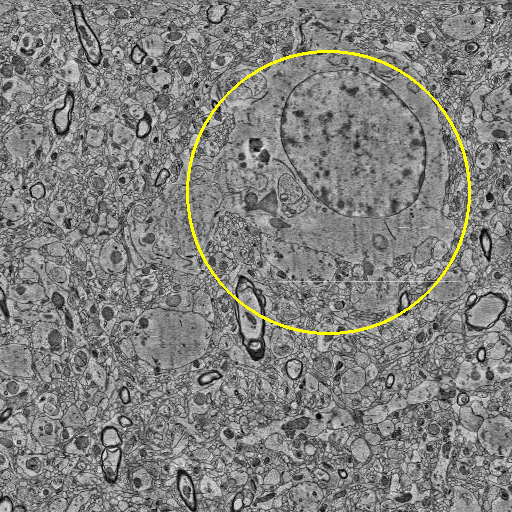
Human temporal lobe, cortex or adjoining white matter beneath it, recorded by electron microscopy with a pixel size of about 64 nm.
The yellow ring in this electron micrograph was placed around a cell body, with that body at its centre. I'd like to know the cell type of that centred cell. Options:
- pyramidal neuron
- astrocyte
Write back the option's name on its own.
astrocyte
